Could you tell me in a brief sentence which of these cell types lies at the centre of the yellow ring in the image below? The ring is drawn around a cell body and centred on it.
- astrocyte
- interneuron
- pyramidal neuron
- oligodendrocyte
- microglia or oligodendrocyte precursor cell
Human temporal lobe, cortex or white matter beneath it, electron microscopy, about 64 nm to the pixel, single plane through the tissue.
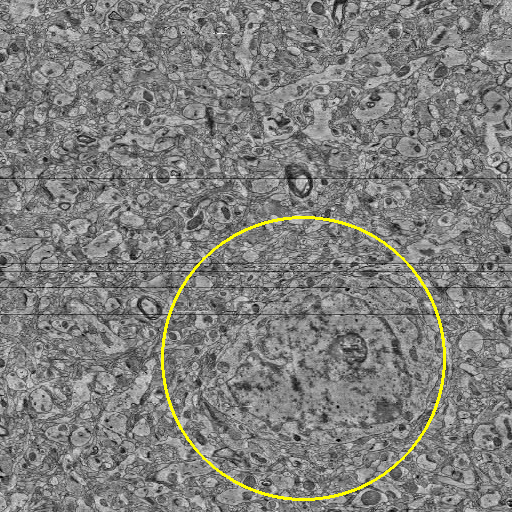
The cell centred in the ring is an interneuron.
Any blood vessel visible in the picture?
No.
